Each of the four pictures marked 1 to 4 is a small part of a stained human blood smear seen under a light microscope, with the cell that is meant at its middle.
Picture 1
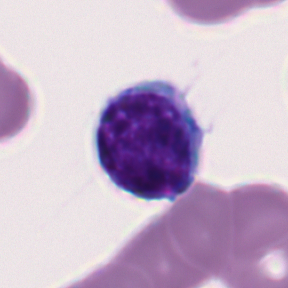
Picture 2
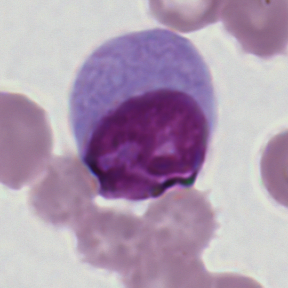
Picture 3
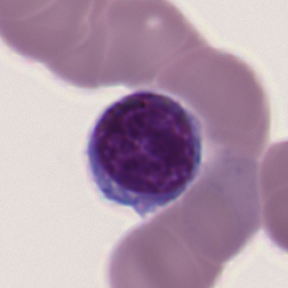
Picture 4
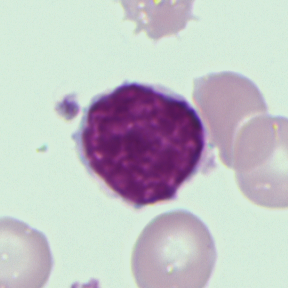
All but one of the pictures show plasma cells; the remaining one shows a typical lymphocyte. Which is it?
4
